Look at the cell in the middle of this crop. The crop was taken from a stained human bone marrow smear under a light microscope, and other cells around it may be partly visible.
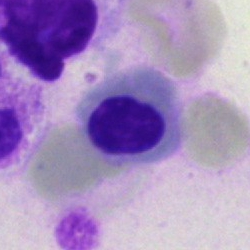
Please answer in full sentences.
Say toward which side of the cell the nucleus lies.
Seen from the middle of the cell, the nucleus lies toward the lower left.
